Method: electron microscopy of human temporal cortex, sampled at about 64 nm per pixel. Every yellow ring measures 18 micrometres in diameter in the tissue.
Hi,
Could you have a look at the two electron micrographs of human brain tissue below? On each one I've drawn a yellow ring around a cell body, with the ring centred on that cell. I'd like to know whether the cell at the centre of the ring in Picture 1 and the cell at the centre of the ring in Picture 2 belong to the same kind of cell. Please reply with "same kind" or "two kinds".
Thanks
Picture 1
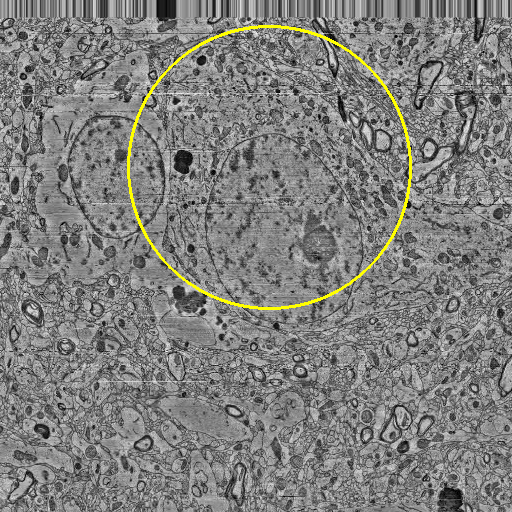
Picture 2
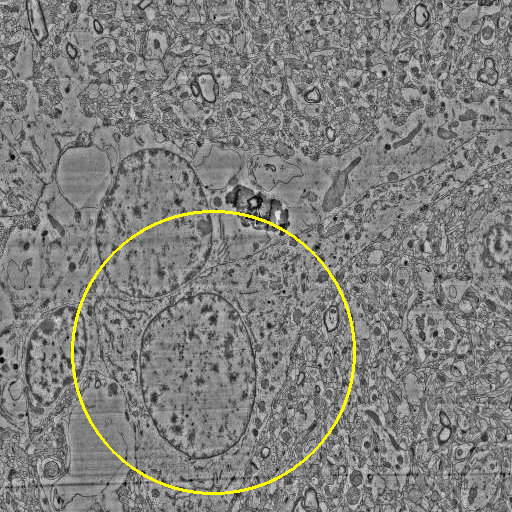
same kind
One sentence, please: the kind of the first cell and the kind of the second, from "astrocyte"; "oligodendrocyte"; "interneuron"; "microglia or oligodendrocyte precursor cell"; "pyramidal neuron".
The cell in the first picture is a pyramidal neuron, and so is the one in the second.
